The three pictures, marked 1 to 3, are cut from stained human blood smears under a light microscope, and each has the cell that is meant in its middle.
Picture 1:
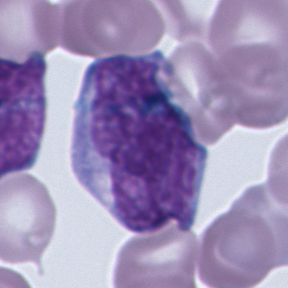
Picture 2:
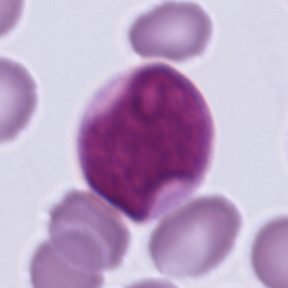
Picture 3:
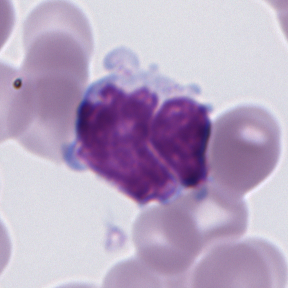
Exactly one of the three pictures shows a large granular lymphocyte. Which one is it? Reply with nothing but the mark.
3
